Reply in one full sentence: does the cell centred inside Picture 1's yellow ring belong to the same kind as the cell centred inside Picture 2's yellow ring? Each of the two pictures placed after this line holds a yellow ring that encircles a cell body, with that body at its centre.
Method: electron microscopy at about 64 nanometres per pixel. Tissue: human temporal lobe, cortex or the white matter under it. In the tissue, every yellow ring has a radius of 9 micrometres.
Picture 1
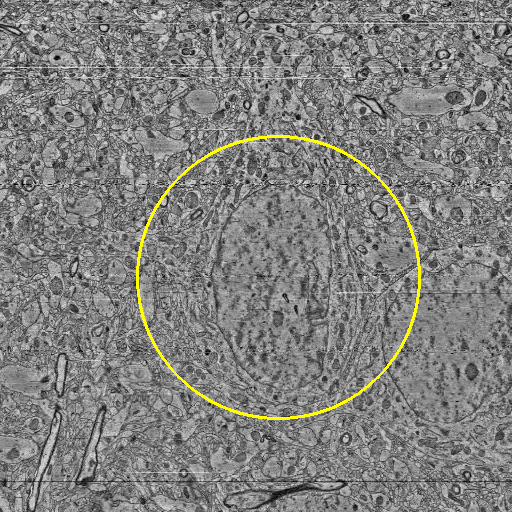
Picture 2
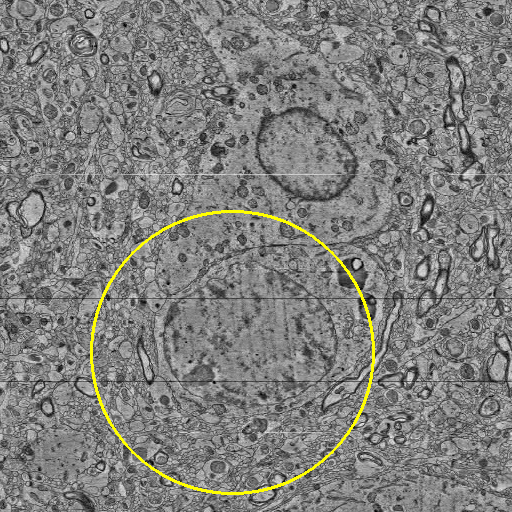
Yes, the ring-centred cells in Picture 1 and Picture 2 are of one and the same kind.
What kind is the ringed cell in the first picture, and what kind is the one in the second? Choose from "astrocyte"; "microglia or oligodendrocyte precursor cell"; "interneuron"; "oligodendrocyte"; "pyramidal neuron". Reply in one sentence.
In the first picture and in the second, the ring is centred on an interneuron.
